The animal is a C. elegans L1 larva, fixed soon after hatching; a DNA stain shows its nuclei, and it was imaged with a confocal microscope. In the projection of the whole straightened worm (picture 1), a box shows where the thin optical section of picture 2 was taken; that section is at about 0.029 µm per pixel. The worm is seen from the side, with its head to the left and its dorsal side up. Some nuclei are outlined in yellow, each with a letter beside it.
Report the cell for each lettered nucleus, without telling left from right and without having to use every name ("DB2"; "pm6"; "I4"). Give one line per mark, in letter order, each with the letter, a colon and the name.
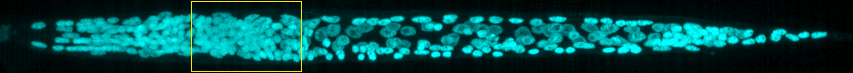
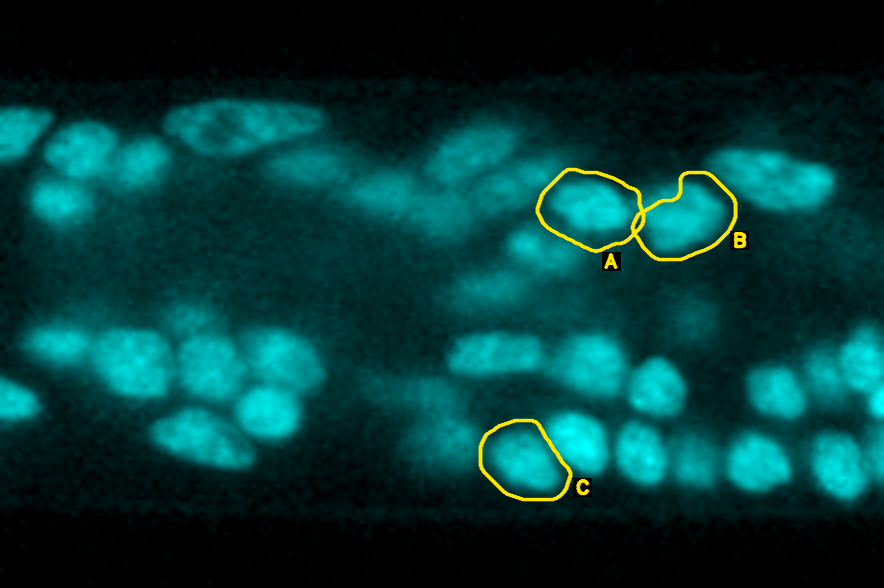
A: I4
B: pm6
C: DB2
